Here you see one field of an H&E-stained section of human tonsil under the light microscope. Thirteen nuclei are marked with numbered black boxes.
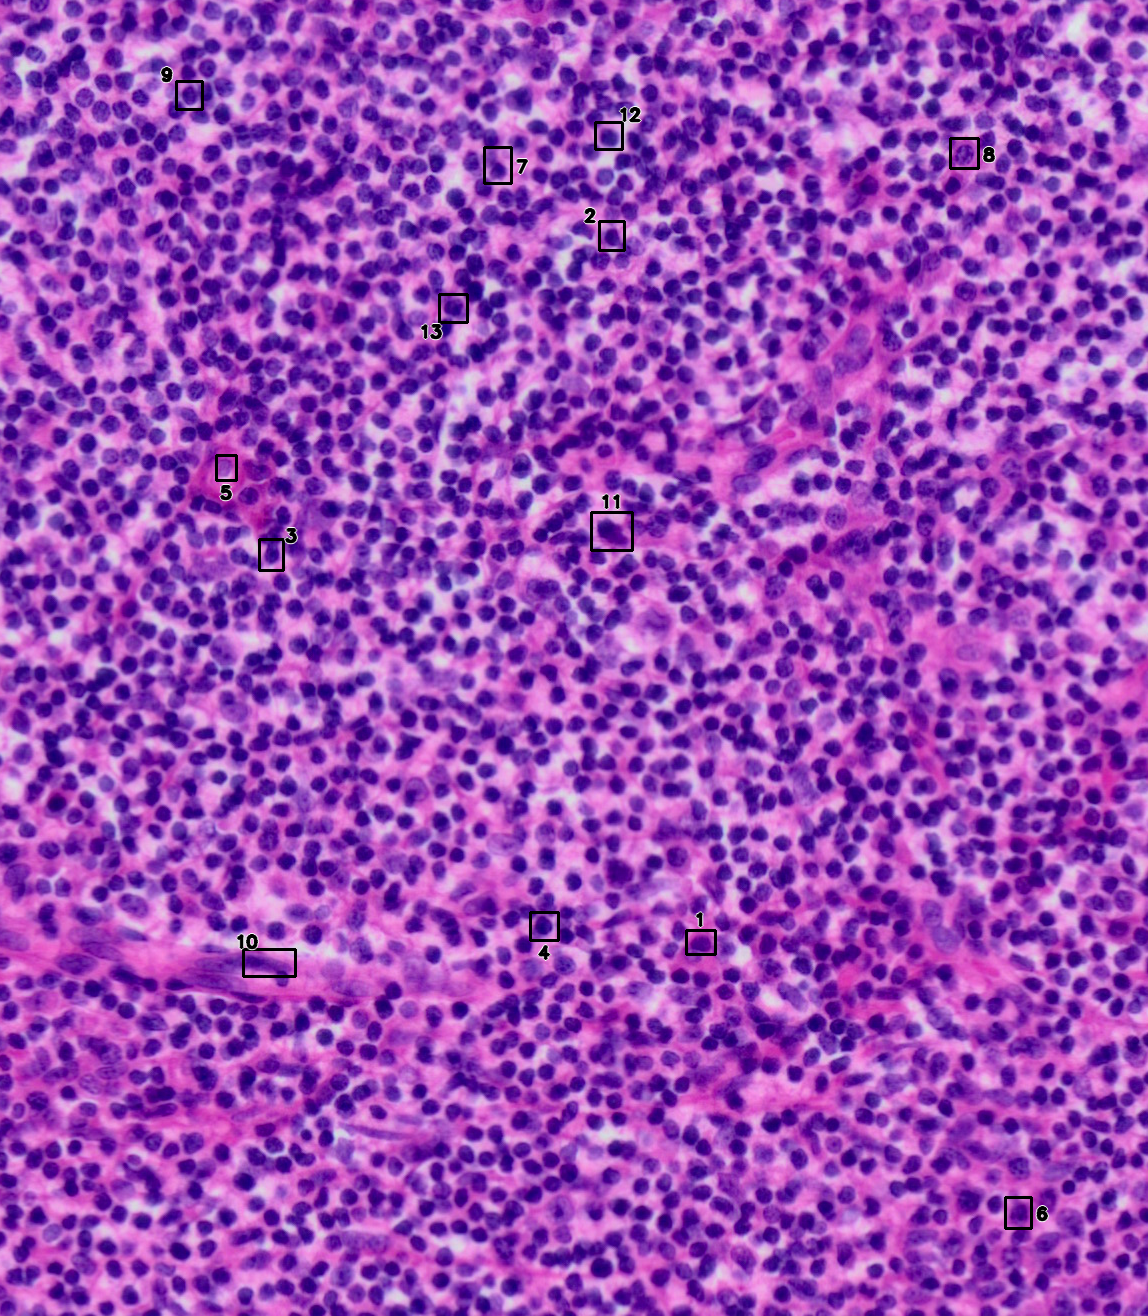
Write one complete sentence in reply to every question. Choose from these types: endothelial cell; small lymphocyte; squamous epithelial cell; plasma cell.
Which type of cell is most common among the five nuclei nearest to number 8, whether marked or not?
Around number 8, most of the five nearest nuclei are those of small lymphocytes.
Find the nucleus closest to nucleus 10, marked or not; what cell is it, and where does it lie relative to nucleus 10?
Just below and to the right of nucleus 10 lies the nearest nucleus, which belongs to an endothelial cell.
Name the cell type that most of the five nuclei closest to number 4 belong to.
Small lymphocytes account for more than half of the five nuclei nearest to number 4.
